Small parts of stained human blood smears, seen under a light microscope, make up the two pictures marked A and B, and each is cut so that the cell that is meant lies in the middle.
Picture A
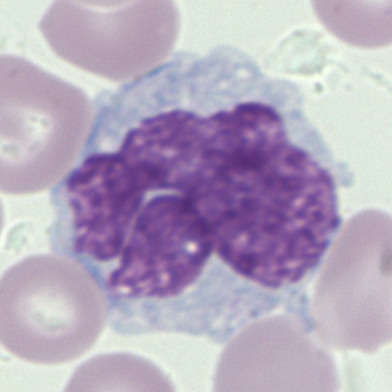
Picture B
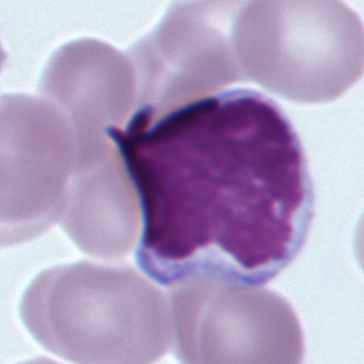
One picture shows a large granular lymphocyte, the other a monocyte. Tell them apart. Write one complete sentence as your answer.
Picture A shows a monocyte and picture B shows a large granular lymphocyte.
